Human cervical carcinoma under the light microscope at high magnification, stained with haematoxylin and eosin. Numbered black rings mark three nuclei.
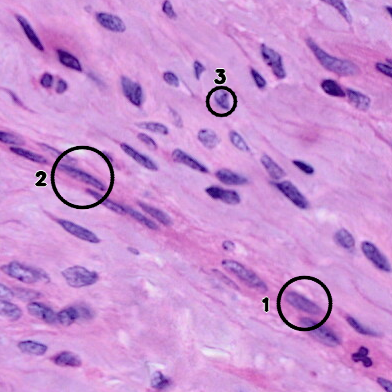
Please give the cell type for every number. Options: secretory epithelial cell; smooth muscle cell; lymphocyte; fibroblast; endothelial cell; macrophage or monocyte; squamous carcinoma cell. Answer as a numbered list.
1. endothelial cell
2. endothelial cell
3. fibroblast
